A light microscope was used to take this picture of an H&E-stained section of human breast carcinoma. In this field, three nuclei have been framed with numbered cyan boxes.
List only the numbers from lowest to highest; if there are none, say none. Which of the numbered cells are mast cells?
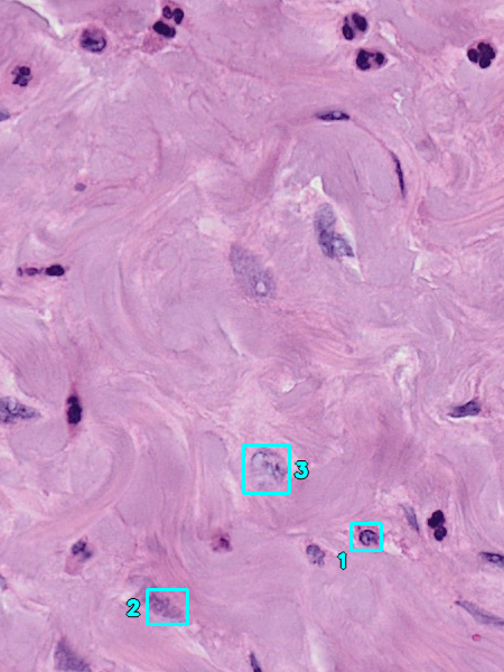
1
